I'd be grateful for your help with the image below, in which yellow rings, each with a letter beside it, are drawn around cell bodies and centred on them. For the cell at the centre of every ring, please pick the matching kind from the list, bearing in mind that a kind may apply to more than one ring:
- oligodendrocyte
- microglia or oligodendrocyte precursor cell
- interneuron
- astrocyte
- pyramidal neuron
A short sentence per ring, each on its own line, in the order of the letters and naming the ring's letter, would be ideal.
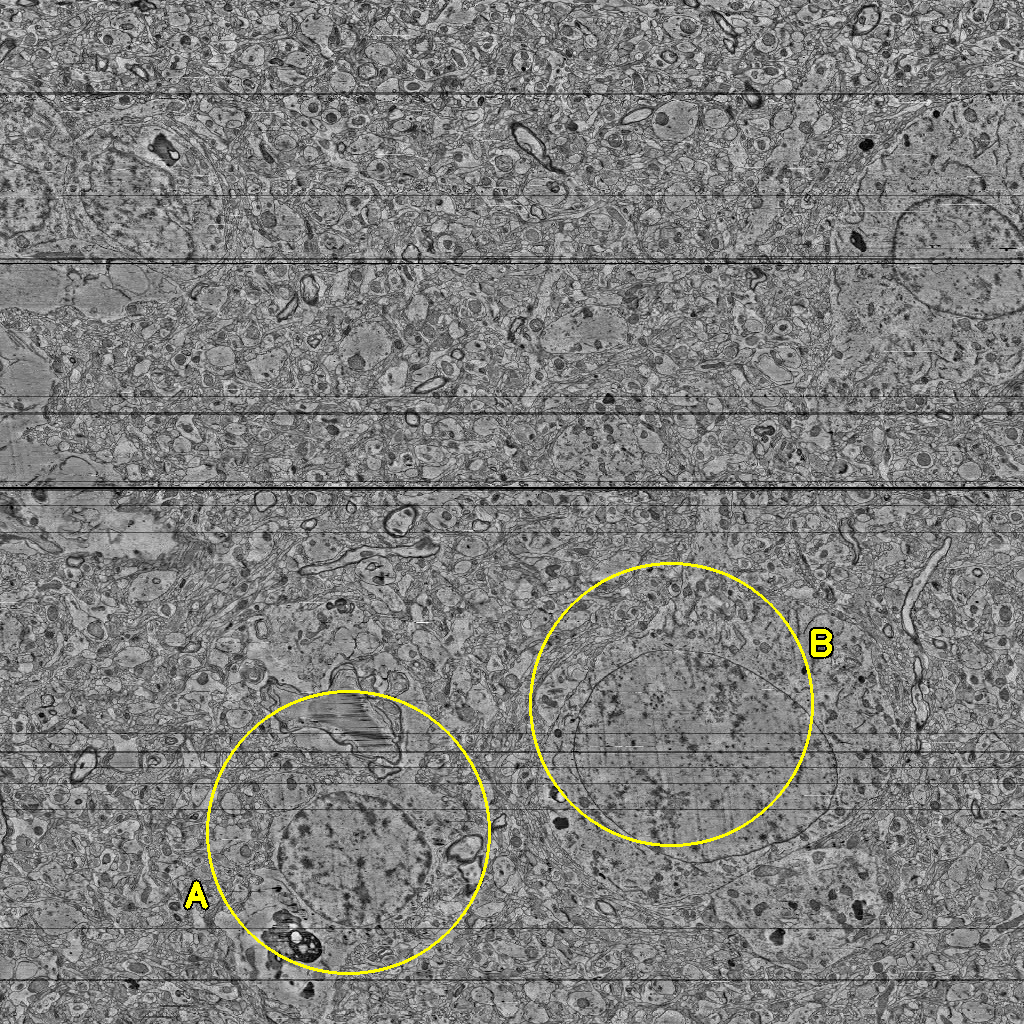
Inside ring A, the central cell is an astrocyte.
Inside ring B, the central cell is a pyramidal neuron.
